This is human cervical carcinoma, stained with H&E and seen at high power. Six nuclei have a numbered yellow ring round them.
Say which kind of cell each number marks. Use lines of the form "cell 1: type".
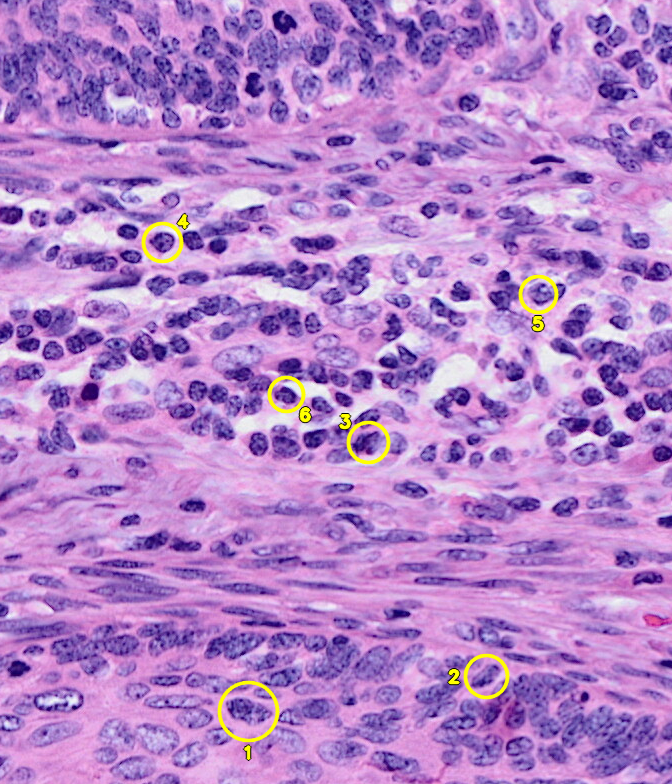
cell 1: squamous carcinoma cell
cell 2: squamous carcinoma cell
cell 3: lymphocyte
cell 4: lymphocyte
cell 5: lymphocyte
cell 6: lymphocyte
